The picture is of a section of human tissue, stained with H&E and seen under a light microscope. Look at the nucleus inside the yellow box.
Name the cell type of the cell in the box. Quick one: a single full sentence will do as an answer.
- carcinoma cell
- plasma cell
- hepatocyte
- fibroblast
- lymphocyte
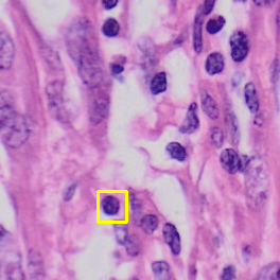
The category to which the cell in the box belongs is that of a lymphocyte.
